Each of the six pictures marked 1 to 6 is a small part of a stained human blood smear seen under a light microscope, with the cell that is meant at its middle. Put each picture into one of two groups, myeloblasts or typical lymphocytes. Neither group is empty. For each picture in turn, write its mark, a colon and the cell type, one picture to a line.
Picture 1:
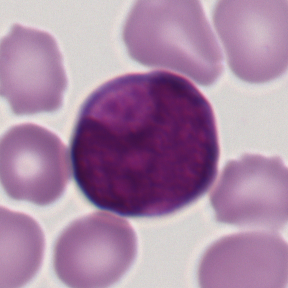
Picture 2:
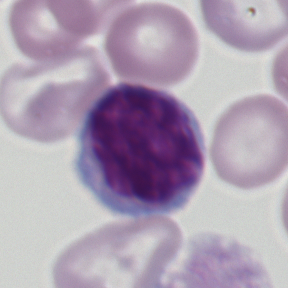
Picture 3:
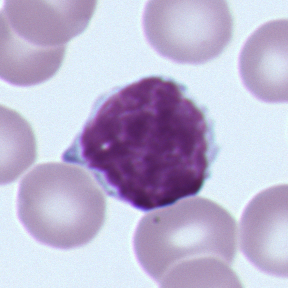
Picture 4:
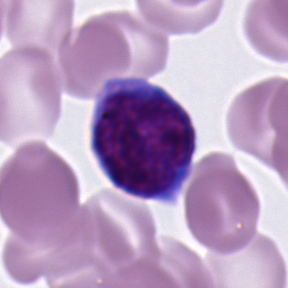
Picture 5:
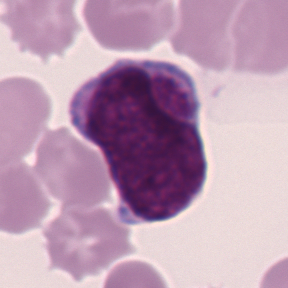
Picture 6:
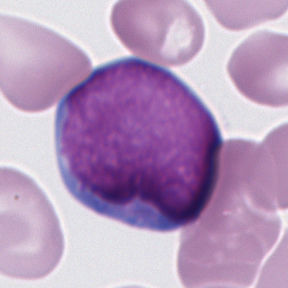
1: myeloblast
2: typical lymphocyte
3: typical lymphocyte
4: typical lymphocyte
5: myeloblast
6: myeloblast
